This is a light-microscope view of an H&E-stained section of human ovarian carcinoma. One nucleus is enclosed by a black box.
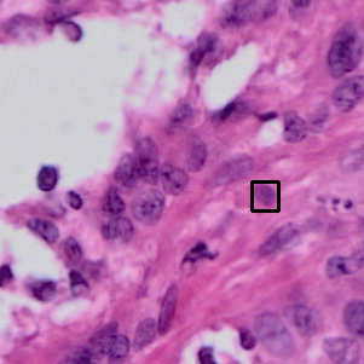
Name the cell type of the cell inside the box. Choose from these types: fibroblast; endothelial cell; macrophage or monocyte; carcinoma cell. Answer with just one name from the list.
endothelial cell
